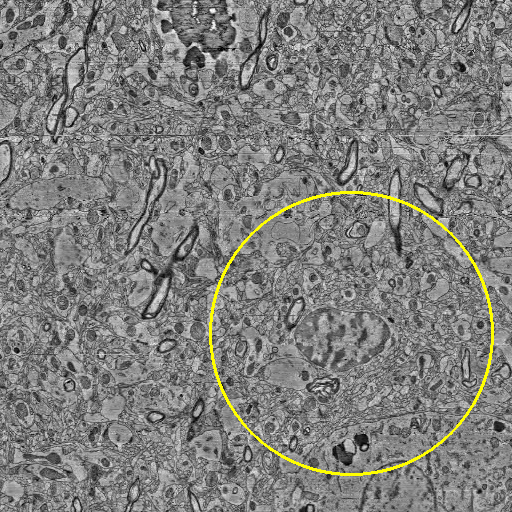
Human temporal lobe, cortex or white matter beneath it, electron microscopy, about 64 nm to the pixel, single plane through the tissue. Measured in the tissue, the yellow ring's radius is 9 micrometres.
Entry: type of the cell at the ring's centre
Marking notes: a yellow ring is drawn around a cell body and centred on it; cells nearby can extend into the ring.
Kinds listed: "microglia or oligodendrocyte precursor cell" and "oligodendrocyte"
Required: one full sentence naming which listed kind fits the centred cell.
My entry names a microglial cell or oligodendrocyte precursor cell as the cell whose body the yellow ring centres on.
